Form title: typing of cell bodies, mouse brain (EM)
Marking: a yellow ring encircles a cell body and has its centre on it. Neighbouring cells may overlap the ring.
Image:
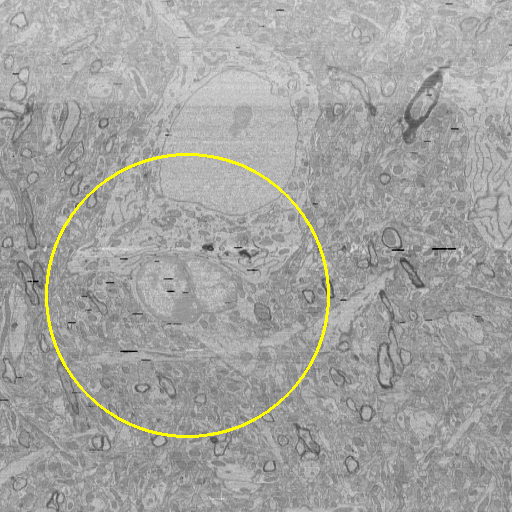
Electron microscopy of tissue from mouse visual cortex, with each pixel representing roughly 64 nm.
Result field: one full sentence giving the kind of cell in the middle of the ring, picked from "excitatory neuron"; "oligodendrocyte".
In the picture, the ring is centred on an oligodendrocyte, whose cell body it encircles.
